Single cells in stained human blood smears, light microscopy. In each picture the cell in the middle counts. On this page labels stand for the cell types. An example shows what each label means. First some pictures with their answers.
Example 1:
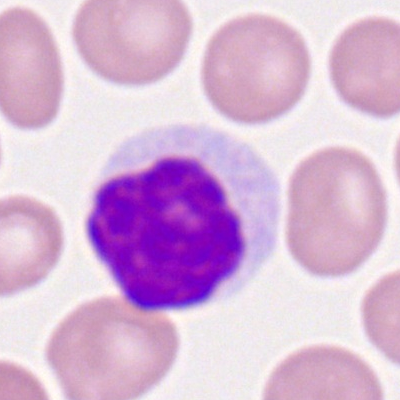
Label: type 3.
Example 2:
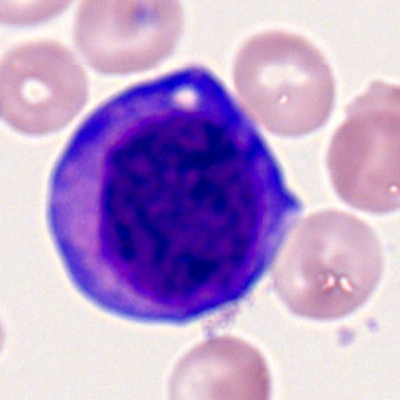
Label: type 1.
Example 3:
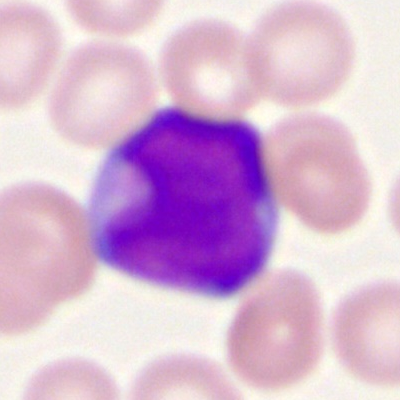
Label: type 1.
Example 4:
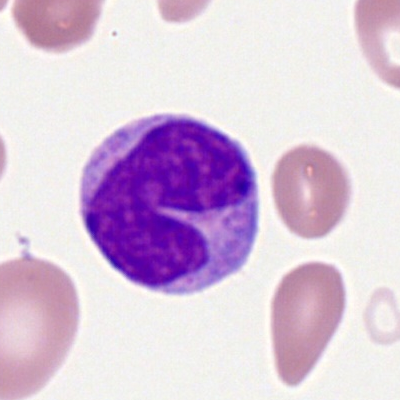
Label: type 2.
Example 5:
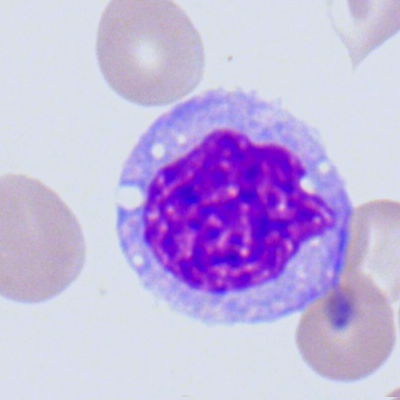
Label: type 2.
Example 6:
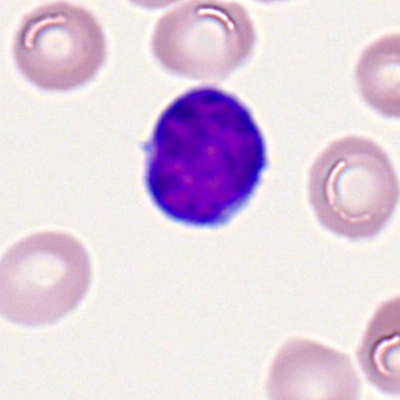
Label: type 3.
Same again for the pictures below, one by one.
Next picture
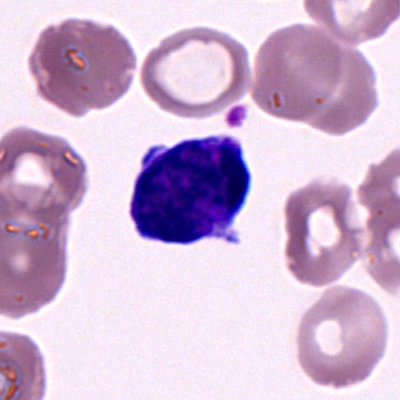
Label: type 3.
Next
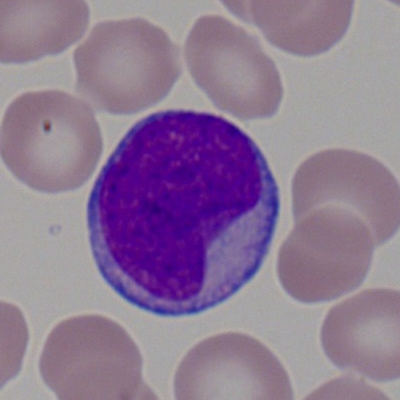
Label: type 1.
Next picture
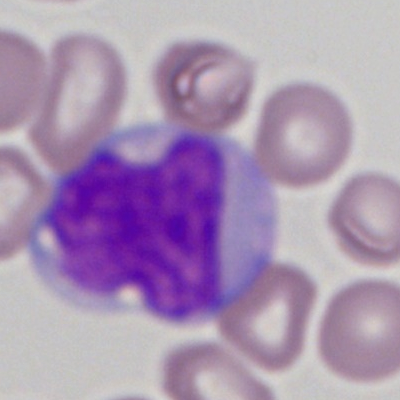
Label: type 2.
